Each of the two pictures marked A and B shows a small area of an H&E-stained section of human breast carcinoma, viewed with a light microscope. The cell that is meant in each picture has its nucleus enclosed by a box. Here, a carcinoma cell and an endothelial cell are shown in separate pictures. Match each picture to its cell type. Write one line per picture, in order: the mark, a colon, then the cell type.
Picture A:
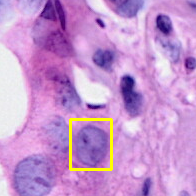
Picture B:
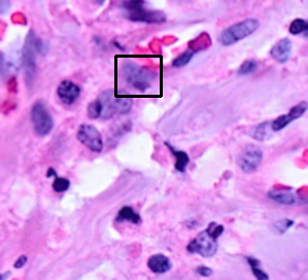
A: carcinoma cell
B: endothelial cell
